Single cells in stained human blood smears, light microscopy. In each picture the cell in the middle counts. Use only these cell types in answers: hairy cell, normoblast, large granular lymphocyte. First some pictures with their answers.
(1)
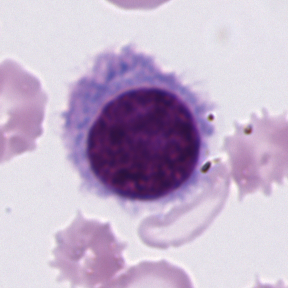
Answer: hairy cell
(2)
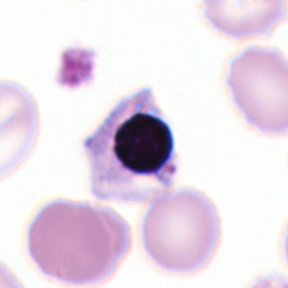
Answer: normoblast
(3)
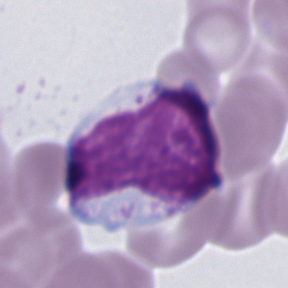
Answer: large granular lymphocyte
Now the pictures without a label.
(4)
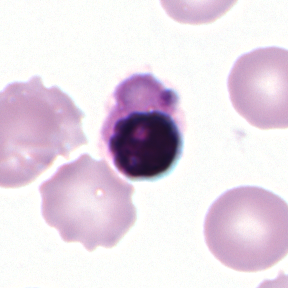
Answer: normoblast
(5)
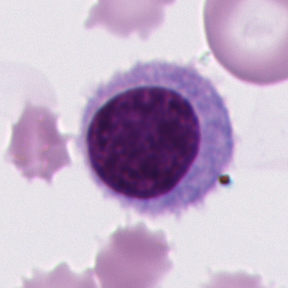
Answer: hairy cell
